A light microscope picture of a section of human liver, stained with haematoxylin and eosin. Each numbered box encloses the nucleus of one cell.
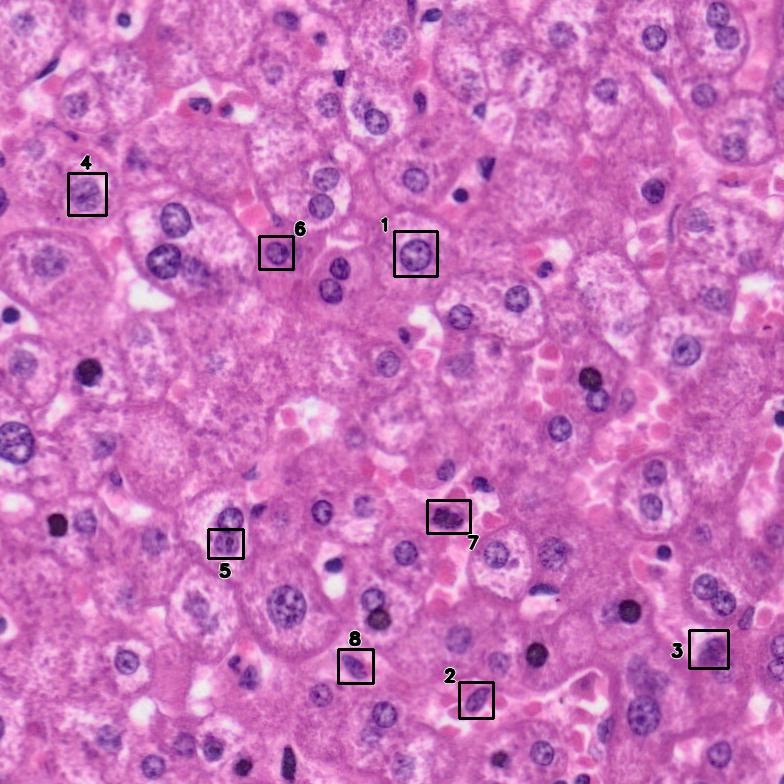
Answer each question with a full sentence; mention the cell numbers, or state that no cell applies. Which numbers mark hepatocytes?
Within the section, cells numbered 1, 4, 5 and 6 are hepatocytes.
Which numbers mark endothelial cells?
Cell 3, and no other numbered cell, is an endothelial cell.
